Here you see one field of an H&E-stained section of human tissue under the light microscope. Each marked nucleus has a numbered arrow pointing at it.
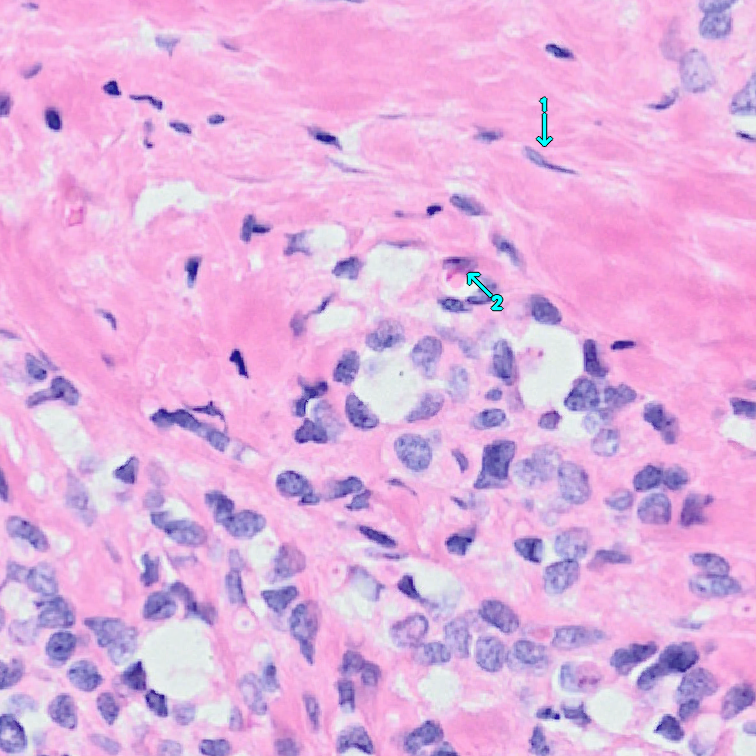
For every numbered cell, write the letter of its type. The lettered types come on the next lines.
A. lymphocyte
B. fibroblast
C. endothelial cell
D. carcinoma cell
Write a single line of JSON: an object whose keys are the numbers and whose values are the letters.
{"1": "B", "2": "C"}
